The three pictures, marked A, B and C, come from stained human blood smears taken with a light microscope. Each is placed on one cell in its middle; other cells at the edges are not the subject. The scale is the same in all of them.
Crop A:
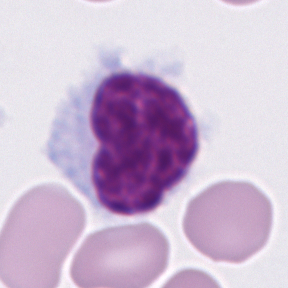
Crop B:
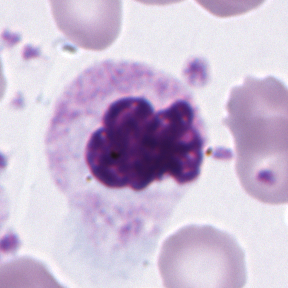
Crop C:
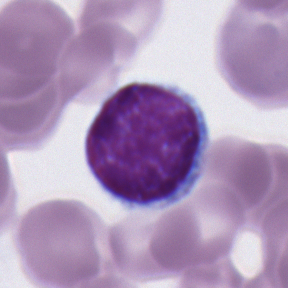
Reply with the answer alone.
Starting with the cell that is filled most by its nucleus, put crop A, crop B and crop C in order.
C, A, B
